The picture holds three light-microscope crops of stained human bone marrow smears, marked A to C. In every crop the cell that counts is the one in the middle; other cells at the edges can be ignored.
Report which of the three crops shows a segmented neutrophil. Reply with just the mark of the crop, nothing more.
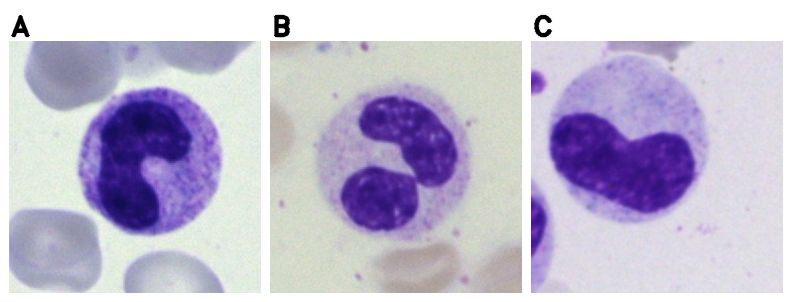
B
